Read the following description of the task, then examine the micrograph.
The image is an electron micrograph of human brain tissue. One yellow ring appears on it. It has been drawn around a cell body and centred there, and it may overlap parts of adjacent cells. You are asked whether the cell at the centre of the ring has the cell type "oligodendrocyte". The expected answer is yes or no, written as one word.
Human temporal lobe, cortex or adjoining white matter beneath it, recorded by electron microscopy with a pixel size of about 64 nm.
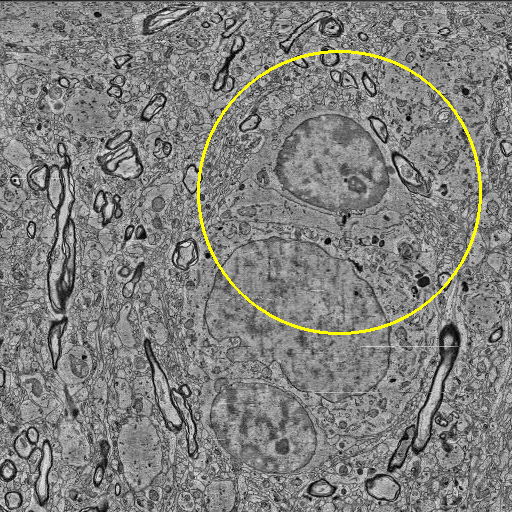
yes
